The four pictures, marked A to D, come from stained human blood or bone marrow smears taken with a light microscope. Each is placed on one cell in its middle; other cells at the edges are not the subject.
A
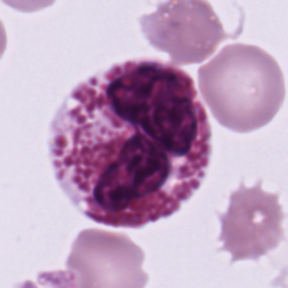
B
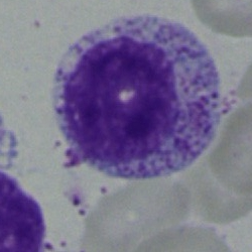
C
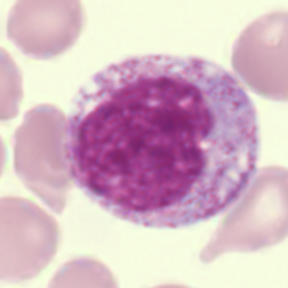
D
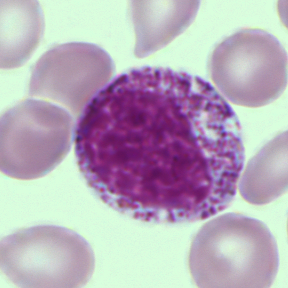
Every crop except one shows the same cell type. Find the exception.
A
